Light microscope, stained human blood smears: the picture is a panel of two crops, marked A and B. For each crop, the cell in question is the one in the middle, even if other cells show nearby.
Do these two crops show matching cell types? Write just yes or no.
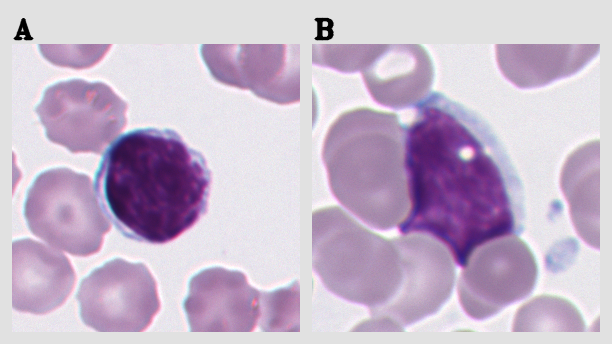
yes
